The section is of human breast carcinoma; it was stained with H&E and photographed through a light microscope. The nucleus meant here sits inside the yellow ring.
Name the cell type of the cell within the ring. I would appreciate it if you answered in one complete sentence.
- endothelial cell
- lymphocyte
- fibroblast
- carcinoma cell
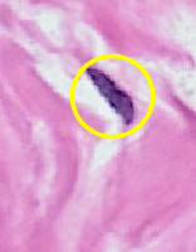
So far as cell type goes, the cell within the ring is a fibroblast.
